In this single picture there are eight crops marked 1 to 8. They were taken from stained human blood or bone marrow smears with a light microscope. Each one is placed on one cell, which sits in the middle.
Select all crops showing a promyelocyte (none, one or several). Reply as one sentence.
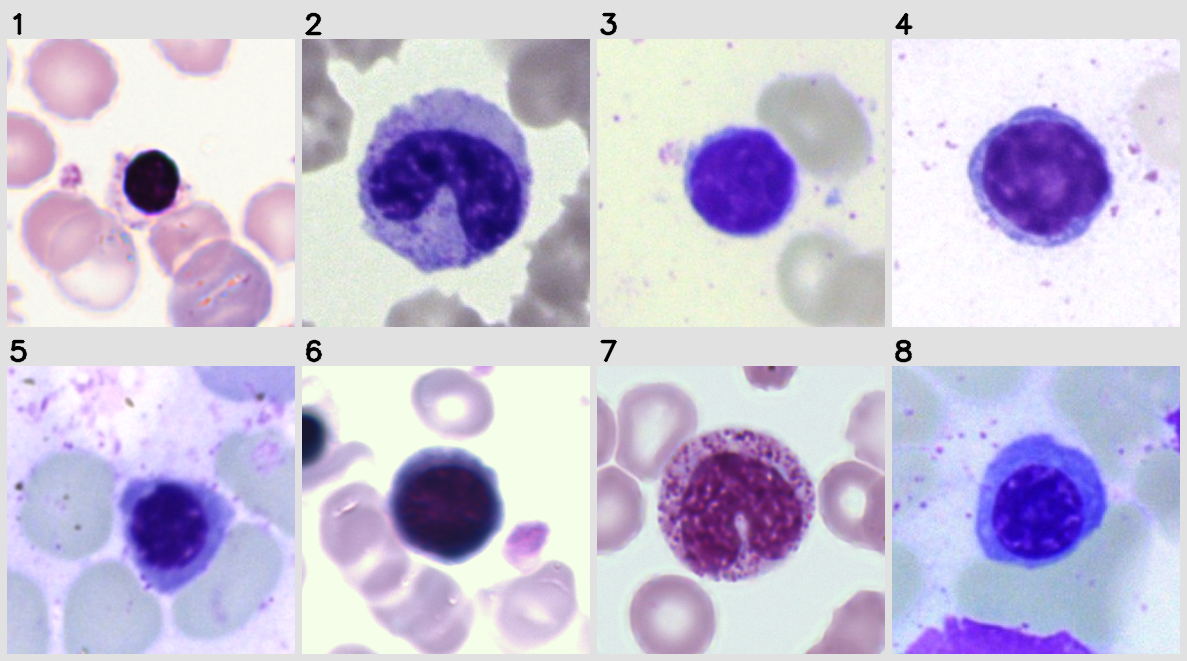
There is no crop here that shows a promyelocyte.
